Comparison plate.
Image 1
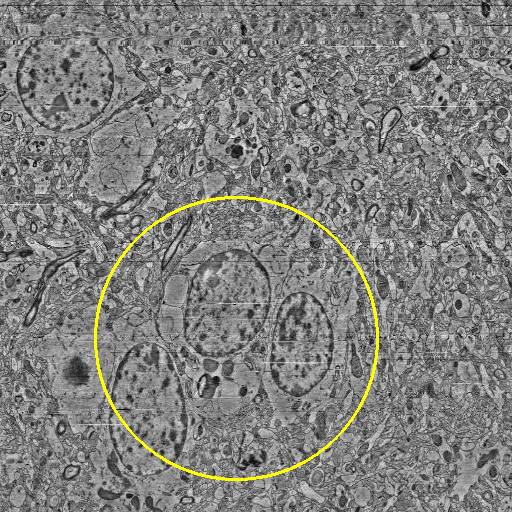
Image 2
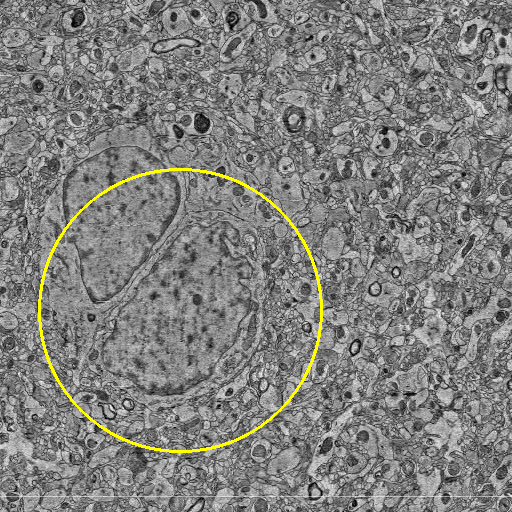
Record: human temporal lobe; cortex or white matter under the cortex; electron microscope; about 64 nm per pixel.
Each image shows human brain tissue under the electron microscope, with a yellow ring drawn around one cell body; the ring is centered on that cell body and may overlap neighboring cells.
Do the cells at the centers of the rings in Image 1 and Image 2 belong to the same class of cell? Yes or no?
no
